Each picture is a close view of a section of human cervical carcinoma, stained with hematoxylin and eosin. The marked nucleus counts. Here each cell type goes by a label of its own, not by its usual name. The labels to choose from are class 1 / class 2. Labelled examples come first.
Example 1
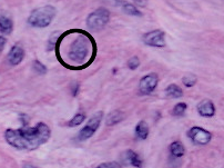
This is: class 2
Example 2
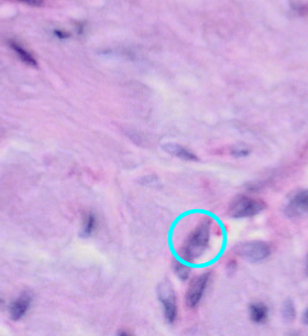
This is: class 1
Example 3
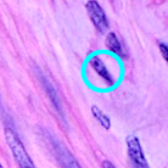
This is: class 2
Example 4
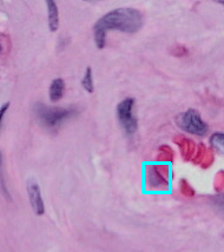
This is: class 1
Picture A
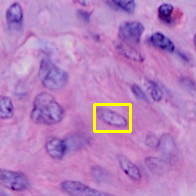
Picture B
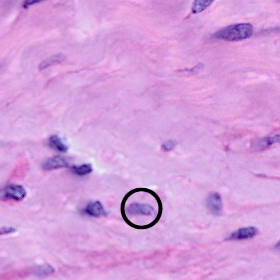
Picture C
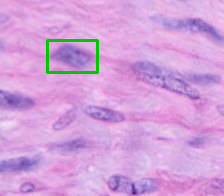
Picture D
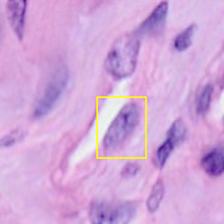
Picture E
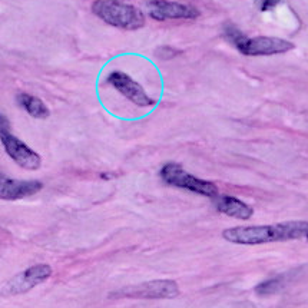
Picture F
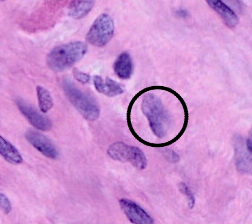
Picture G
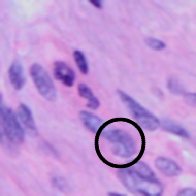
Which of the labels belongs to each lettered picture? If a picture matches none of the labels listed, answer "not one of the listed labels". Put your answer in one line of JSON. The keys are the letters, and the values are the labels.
{"A": "class 2", "B": "not one of the listed labels", "C": "class 2", "D": "class 1", "E": "not one of the listed labels", "F": "not one of the listed labels", "G": "class 1"}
